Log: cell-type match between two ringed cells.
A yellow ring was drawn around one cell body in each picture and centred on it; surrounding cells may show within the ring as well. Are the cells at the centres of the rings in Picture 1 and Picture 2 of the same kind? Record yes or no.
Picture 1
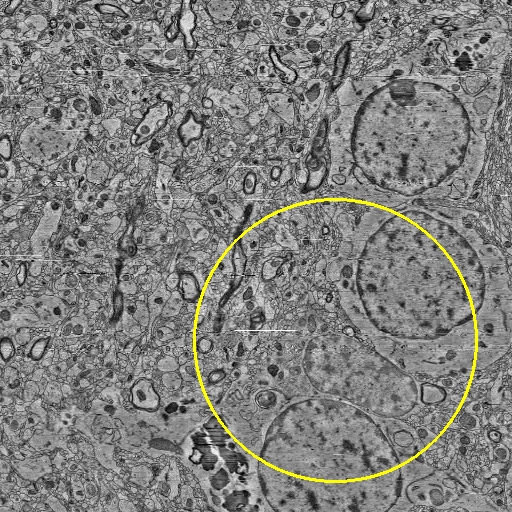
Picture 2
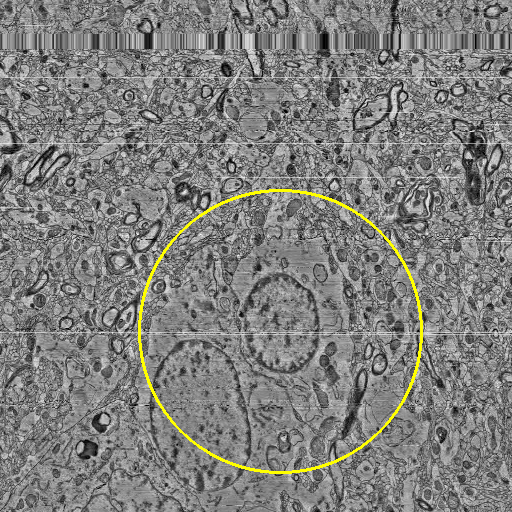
no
